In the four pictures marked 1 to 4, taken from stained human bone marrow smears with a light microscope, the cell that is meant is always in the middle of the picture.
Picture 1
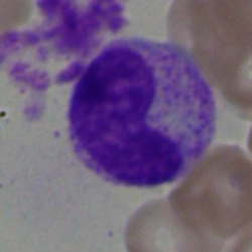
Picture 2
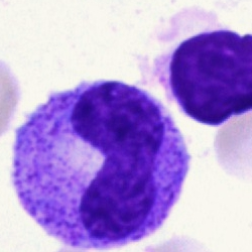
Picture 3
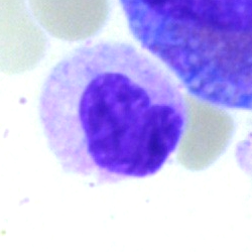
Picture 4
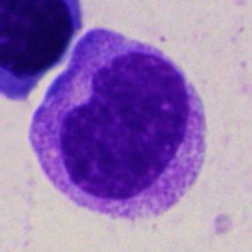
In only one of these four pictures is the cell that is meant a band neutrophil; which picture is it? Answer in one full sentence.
The band neutrophil is the one in picture 2.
